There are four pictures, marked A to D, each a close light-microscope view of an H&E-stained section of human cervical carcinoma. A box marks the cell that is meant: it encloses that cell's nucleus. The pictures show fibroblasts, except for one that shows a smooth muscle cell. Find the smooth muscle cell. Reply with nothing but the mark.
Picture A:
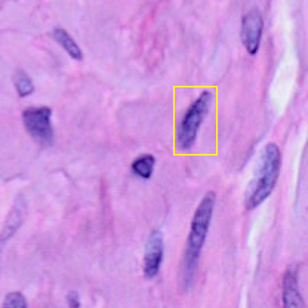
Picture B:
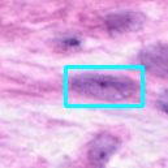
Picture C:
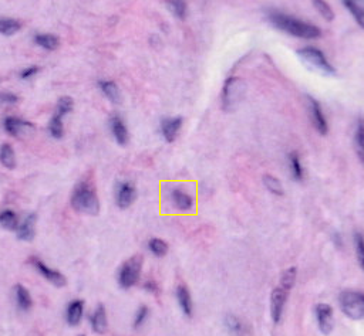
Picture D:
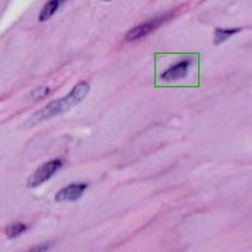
C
